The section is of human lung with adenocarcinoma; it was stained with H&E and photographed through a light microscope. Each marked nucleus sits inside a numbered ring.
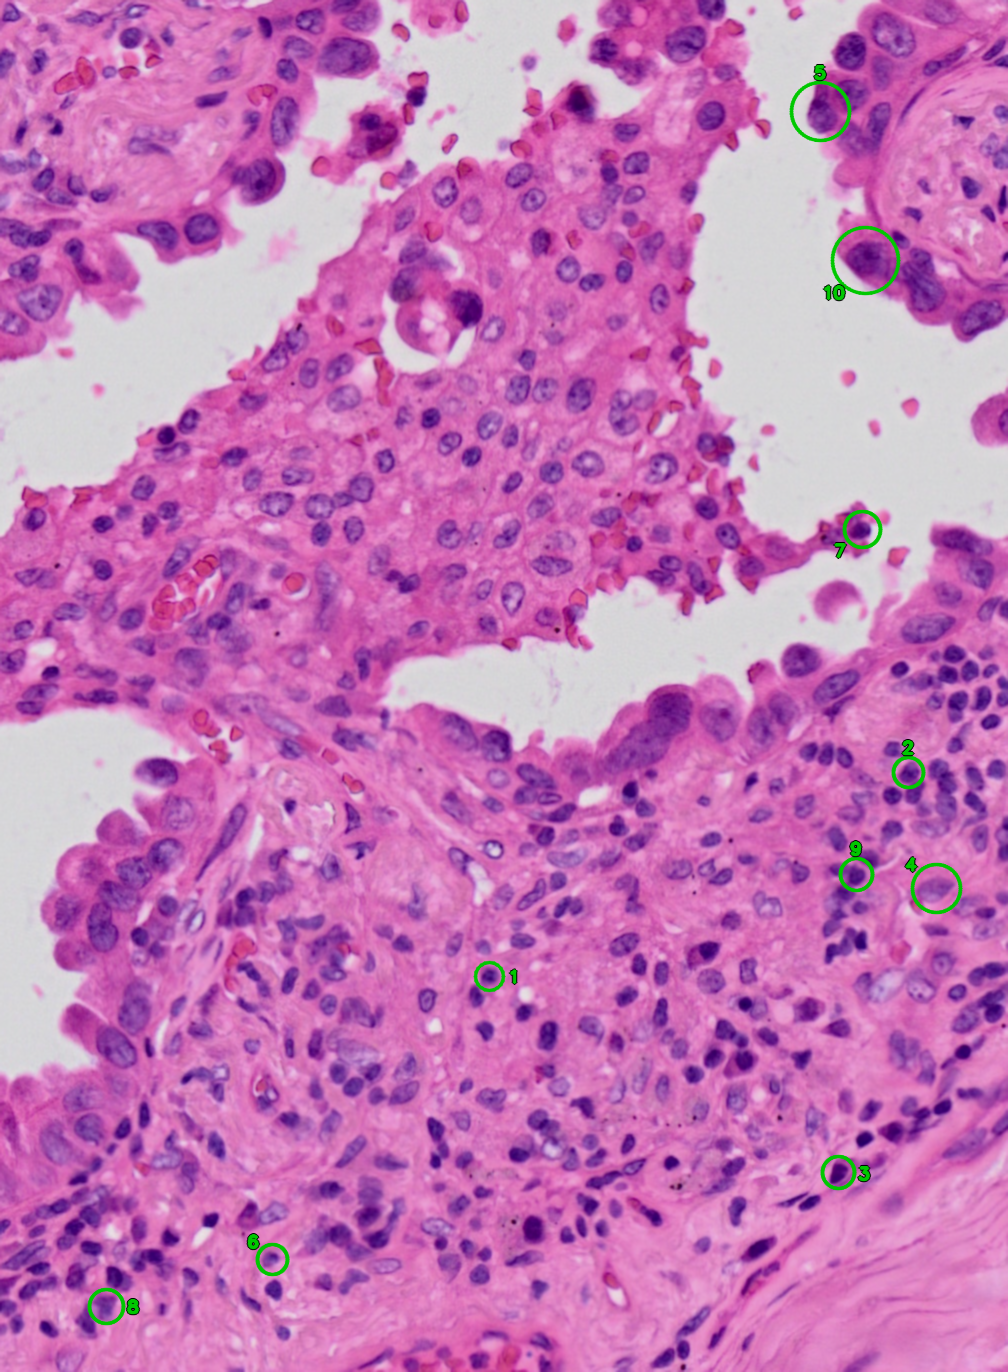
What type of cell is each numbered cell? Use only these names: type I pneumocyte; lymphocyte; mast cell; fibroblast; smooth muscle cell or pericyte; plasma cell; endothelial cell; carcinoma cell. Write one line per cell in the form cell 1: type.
cell 1: lymphocyte
cell 2: lymphocyte
cell 3: plasma cell
cell 4: endothelial cell
cell 5: carcinoma cell
cell 6: lymphocyte
cell 7: lymphocyte
cell 8: lymphocyte
cell 9: lymphocyte
cell 10: carcinoma cell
